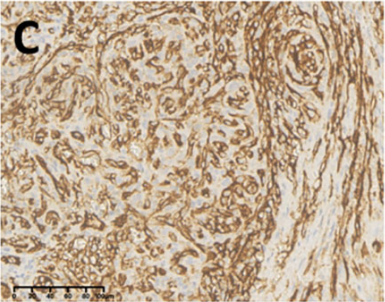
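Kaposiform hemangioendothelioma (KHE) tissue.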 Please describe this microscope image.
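This is a densely cellular vascular tumor in which brown-stained spindle and endothelial cells line innumerable small, slit-like and rounded capillary channels. The channels crowd into nodules, some with a whorled arrangement, and the brown membranes outline each narrow lumen, while pale blue nuclei lie between them.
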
